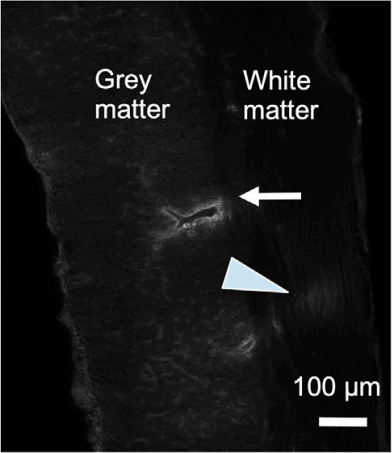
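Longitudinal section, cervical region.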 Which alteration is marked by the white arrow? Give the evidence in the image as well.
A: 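The arrow points to a short elongated dark channel in the grey matter. A bright fluorescent rim surrounds this channel, brighter than the surrounding tissue.
Perivascular accumulation.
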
